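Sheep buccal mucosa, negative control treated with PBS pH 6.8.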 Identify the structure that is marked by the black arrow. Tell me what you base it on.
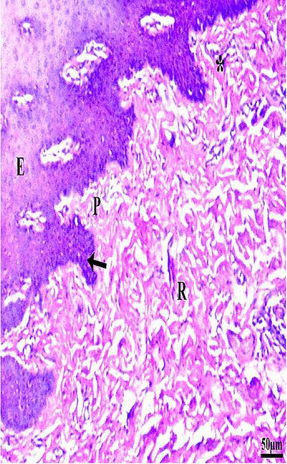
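Rete pegs. The arrow points at the tip of a dark purple epithelial projection reaching down into the pink fibrous layer.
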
